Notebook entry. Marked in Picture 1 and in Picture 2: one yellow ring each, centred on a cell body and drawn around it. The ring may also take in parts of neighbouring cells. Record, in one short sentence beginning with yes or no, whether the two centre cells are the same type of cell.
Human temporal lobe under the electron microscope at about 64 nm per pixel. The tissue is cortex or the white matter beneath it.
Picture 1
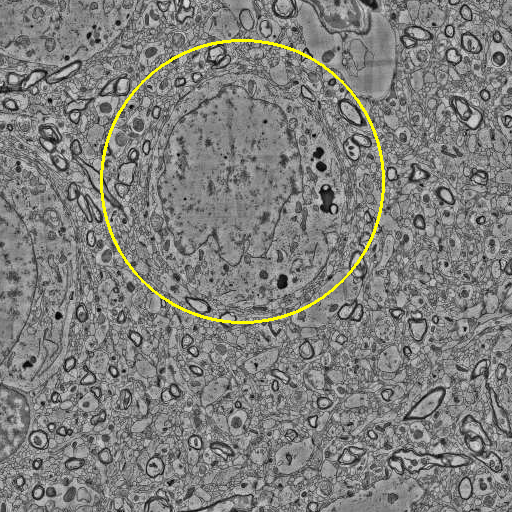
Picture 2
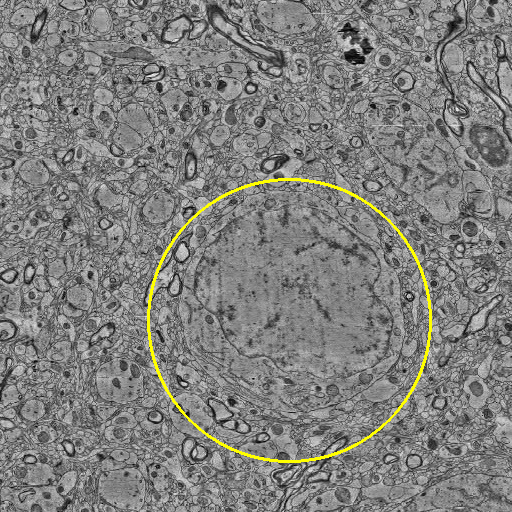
Yes, both are the same type of cell.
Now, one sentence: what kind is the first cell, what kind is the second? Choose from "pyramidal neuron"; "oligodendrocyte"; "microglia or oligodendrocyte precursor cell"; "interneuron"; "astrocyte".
The second cell is an interneuron, just as the first is.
